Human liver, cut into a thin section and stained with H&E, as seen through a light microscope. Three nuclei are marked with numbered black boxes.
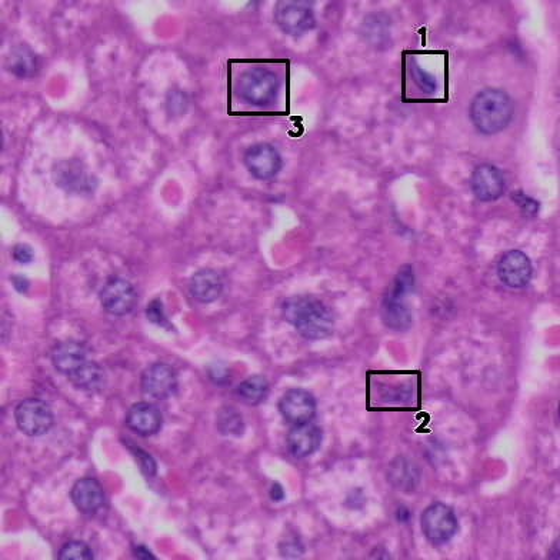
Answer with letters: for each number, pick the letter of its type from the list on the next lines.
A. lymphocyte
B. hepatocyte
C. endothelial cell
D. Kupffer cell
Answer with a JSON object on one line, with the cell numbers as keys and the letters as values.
{"1": "C", "2": "C", "3": "B"}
